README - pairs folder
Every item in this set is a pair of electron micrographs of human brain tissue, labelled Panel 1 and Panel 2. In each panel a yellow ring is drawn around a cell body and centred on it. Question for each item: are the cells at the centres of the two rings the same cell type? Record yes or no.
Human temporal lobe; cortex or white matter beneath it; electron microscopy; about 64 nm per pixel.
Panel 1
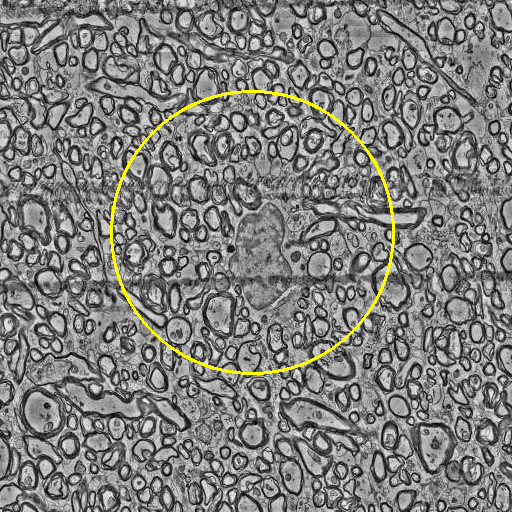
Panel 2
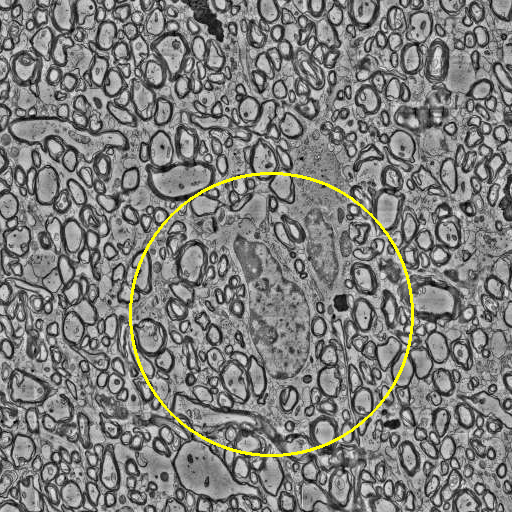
no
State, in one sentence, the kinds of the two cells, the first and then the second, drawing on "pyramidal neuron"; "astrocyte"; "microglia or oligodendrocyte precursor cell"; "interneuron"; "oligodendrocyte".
The ring in the second picture is centred on a microglial cell or oligodendrocyte precursor cell, the ring in the first on an oligodendrocyte.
